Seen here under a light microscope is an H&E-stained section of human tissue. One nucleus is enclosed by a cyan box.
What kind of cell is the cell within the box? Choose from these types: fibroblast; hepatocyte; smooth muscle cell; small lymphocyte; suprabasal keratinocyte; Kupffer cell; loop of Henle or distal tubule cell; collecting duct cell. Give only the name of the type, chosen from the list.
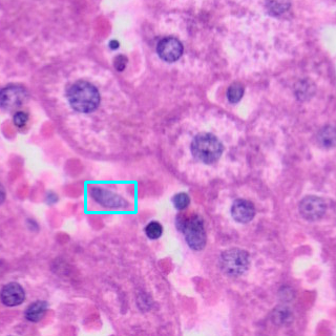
Kupffer cell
